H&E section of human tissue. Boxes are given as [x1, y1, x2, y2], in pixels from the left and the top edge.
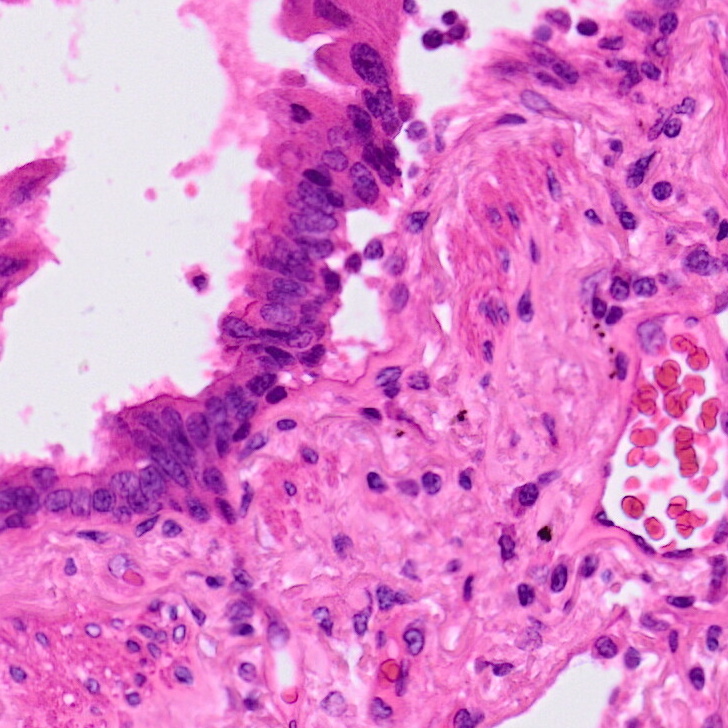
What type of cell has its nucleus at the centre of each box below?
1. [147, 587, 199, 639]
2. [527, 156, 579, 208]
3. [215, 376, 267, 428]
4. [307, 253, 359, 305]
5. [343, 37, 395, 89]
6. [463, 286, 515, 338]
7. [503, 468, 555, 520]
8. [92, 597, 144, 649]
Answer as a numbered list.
1. smooth muscle cell or pericyte
2. smooth muscle cell or pericyte
3. ciliated epithelial cell
4. ciliated epithelial cell
5. carcinoma cell
6. smooth muscle cell or pericyte
7. plasma cell
8. smooth muscle cell or pericyte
